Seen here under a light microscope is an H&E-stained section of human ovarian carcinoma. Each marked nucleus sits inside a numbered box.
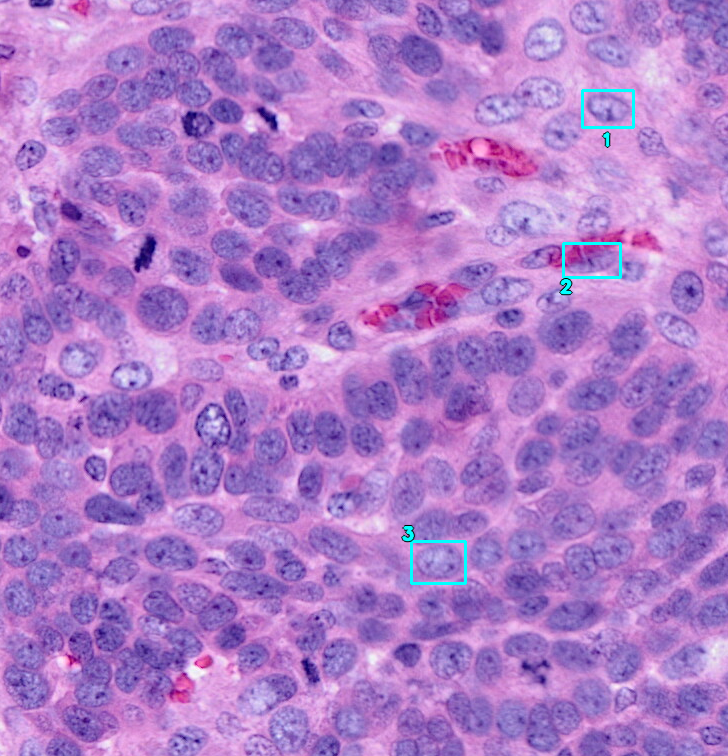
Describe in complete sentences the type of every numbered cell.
Cell 1 is a fibroblast, cell 2 is an endothelial cell and cell 3 is a carcinoma cell.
